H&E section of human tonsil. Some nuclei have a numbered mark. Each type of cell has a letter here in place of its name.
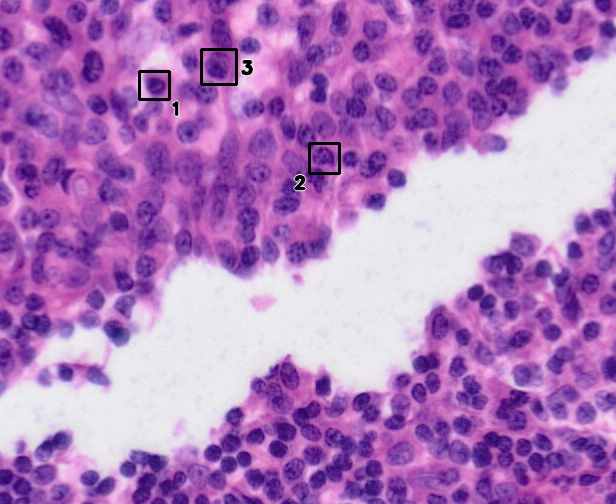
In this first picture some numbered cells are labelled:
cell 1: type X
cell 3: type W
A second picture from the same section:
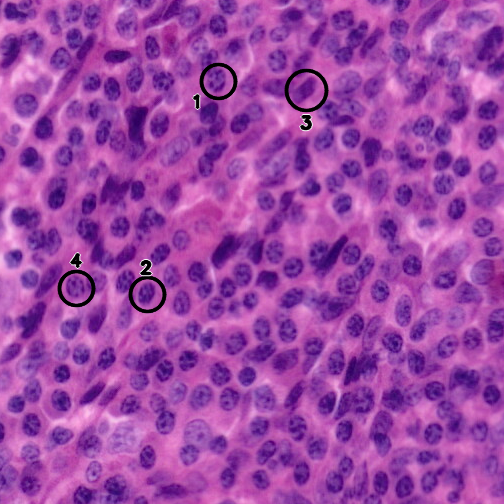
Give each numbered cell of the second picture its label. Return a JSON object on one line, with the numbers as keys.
{"1": "type X", "2": "type X", "3": "type W", "4": "type X"}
